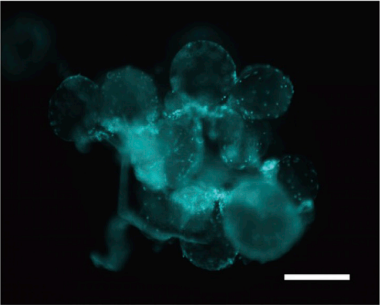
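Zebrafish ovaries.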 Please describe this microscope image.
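The oocytes themselves glow more dimly and diffusely, and brighter patches are seen where oocytes overlap in the middle of the cluster. Thin stained strands of tissue extend from the lower left of the cluster.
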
